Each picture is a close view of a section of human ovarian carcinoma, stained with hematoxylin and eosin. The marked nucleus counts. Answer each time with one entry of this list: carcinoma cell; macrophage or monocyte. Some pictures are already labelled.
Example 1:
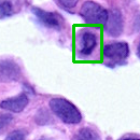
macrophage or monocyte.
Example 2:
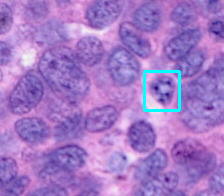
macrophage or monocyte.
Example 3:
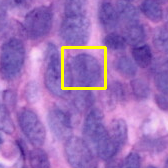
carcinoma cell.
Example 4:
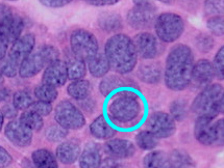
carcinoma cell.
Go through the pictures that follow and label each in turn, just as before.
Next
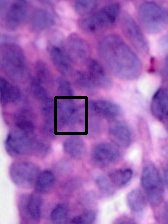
carcinoma cell.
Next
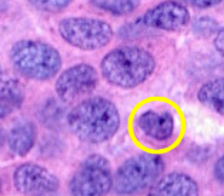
macrophage or monocyte.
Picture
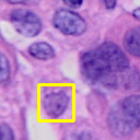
macrophage or monocyte.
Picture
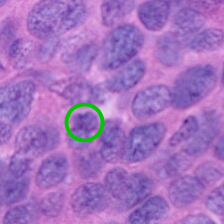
carcinoma cell.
